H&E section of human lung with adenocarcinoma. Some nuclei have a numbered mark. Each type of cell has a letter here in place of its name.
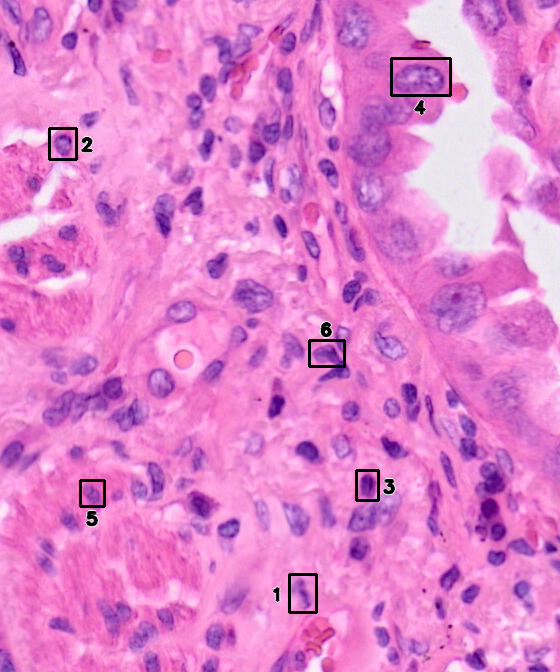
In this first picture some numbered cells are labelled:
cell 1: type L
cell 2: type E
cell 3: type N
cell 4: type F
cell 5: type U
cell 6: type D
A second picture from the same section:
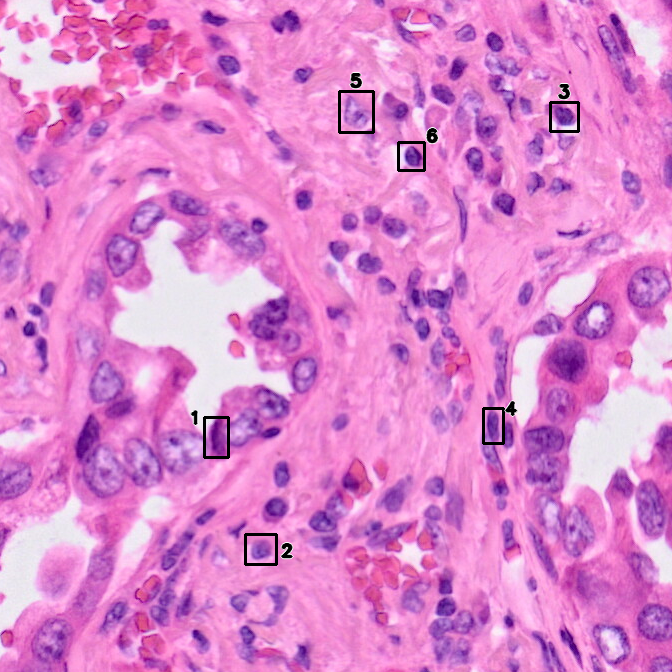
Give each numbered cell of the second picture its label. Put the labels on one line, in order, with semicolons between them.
type F; type D; type N; type D; type L; type D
